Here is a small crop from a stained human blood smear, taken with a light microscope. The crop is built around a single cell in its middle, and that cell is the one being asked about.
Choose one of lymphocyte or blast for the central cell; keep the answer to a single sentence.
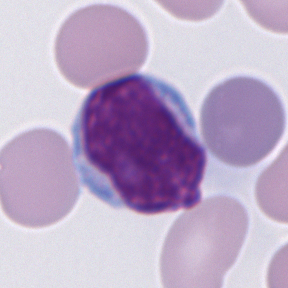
The cell centred in this crop is categorized as a lymphocyte.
